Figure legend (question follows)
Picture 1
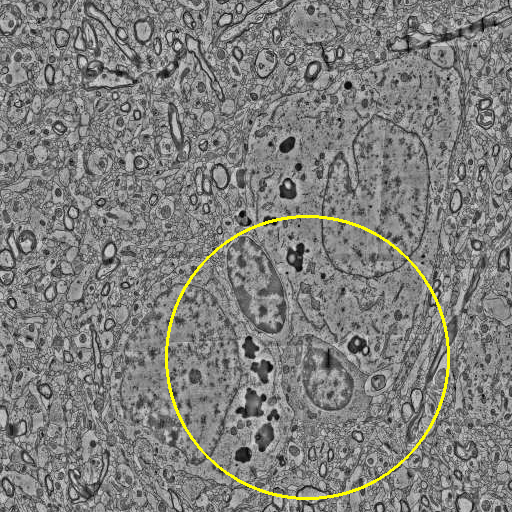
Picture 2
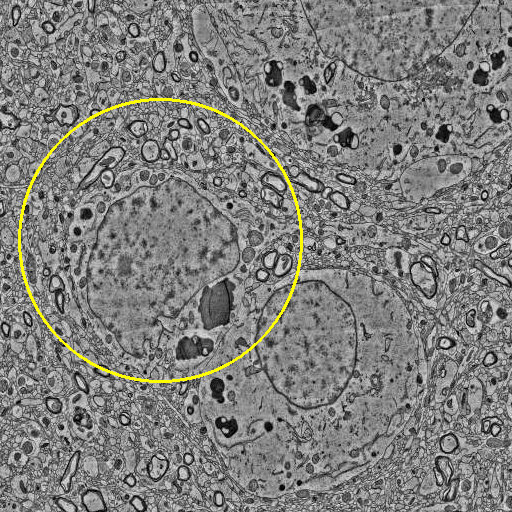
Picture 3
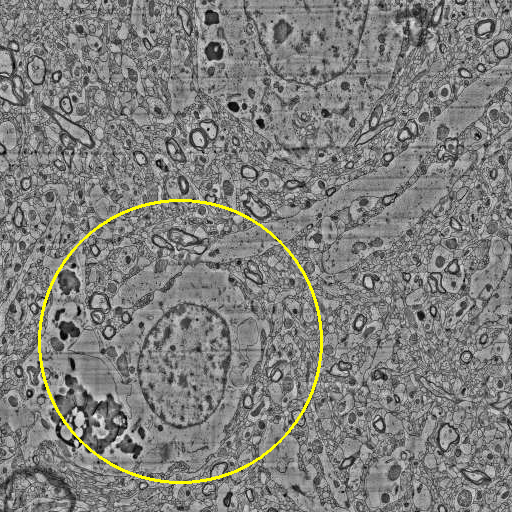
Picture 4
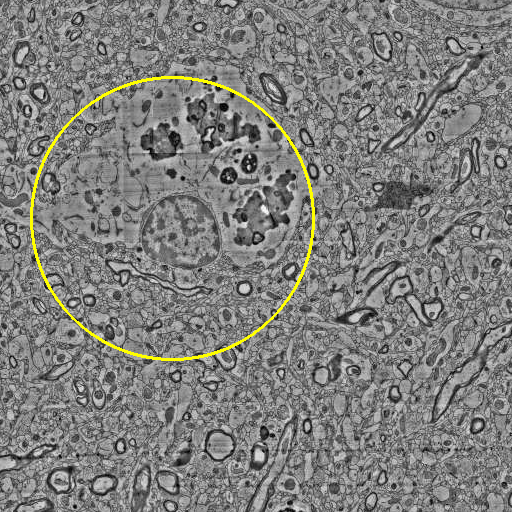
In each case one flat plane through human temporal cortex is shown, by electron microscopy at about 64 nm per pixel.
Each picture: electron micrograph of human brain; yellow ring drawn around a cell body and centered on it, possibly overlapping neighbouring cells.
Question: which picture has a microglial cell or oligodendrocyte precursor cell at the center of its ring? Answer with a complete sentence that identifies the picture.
Picture 4 has it at the center of its ring.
